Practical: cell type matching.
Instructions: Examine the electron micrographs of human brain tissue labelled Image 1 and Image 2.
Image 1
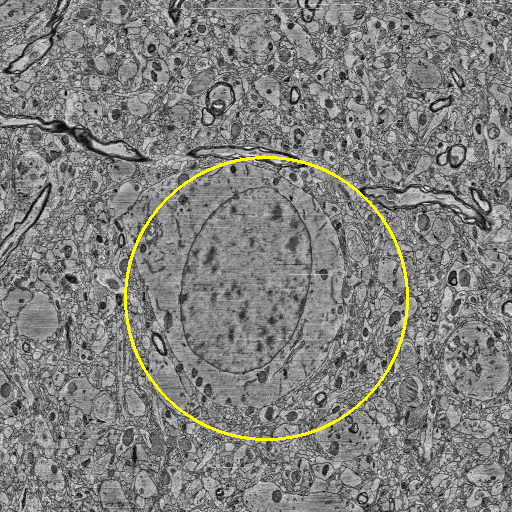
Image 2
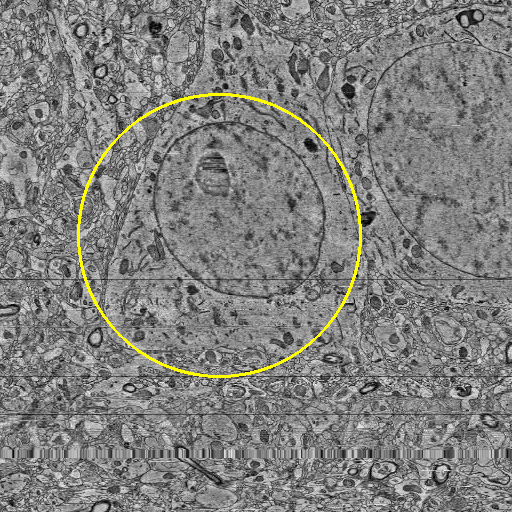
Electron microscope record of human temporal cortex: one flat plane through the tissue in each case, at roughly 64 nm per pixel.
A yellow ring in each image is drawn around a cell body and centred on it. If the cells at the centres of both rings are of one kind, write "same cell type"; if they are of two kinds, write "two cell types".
same cell type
